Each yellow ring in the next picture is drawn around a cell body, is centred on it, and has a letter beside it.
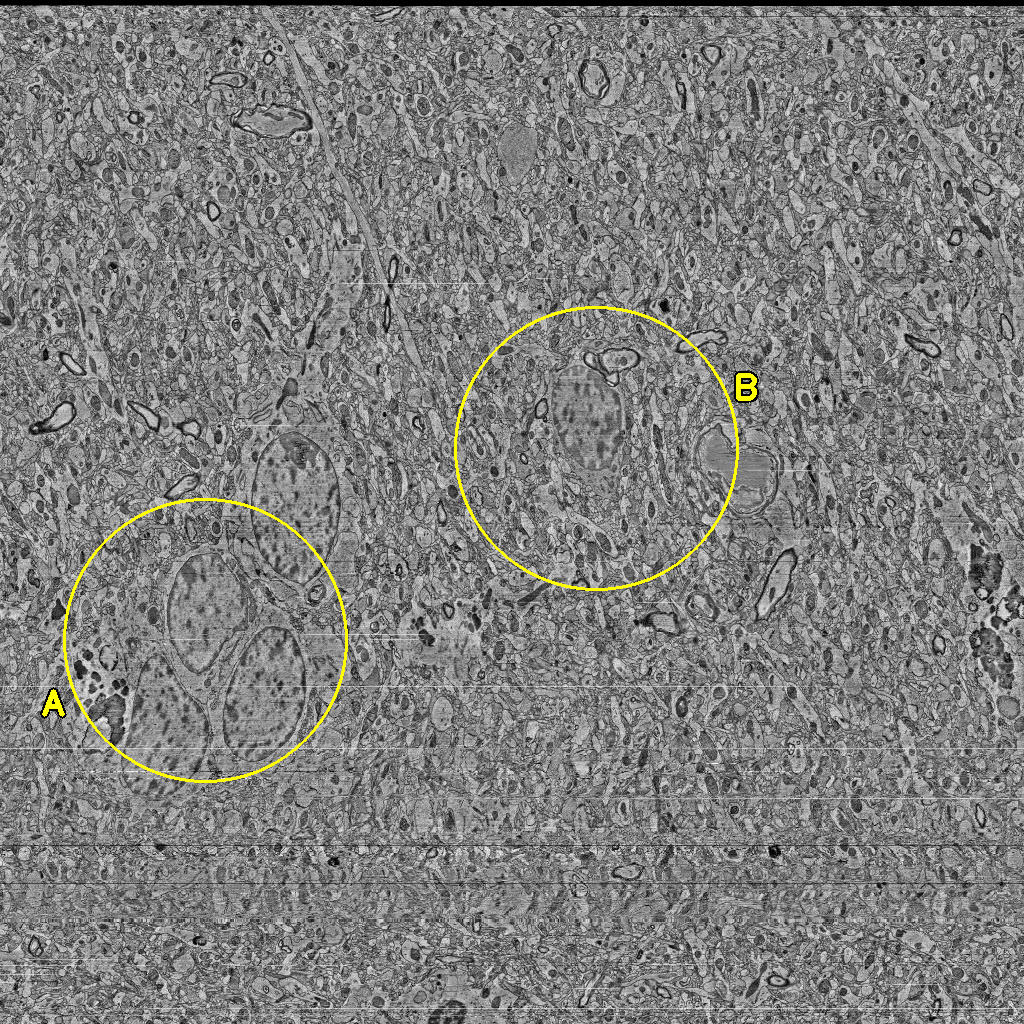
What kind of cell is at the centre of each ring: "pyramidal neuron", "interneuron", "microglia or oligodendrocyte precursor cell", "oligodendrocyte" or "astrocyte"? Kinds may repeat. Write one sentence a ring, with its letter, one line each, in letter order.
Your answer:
The centre of ring A falls on a microglial cell or oligodendrocyte precursor cell.
The centre of ring B falls on an oligodendrocyte.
